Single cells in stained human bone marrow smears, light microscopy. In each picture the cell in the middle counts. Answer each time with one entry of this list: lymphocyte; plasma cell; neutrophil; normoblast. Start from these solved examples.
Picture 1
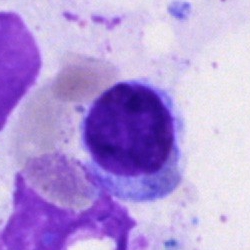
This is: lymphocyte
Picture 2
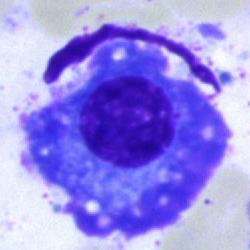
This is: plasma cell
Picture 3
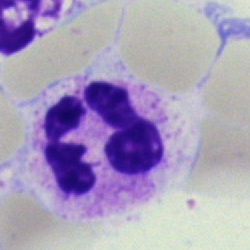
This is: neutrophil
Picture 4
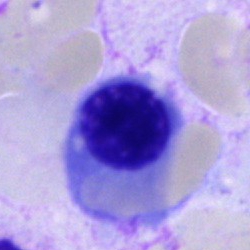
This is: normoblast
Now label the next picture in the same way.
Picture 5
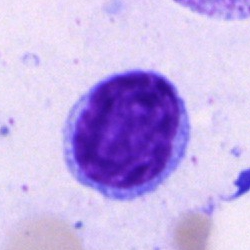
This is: lymphocyte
